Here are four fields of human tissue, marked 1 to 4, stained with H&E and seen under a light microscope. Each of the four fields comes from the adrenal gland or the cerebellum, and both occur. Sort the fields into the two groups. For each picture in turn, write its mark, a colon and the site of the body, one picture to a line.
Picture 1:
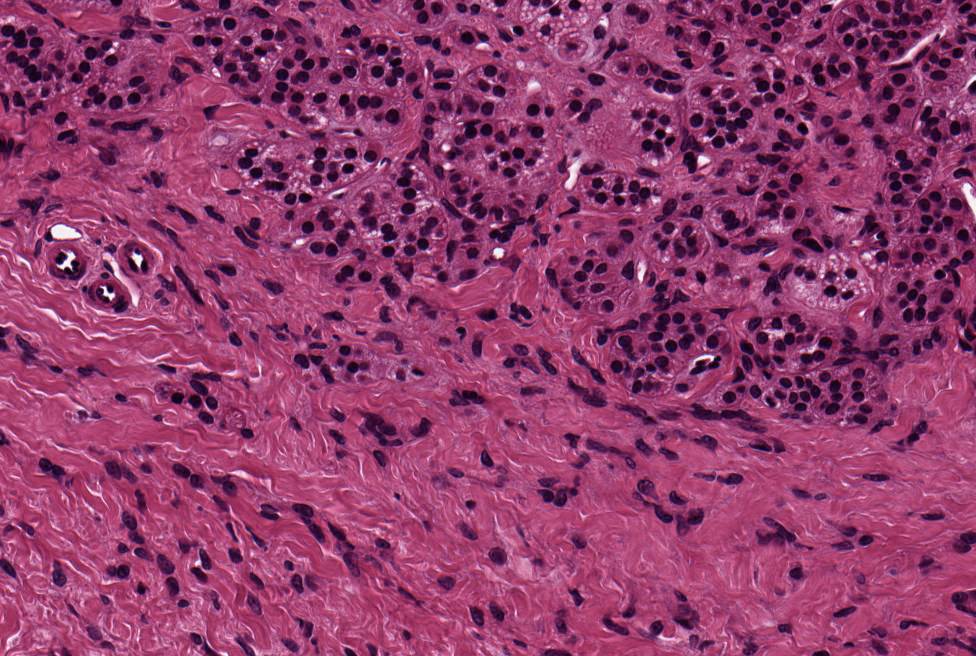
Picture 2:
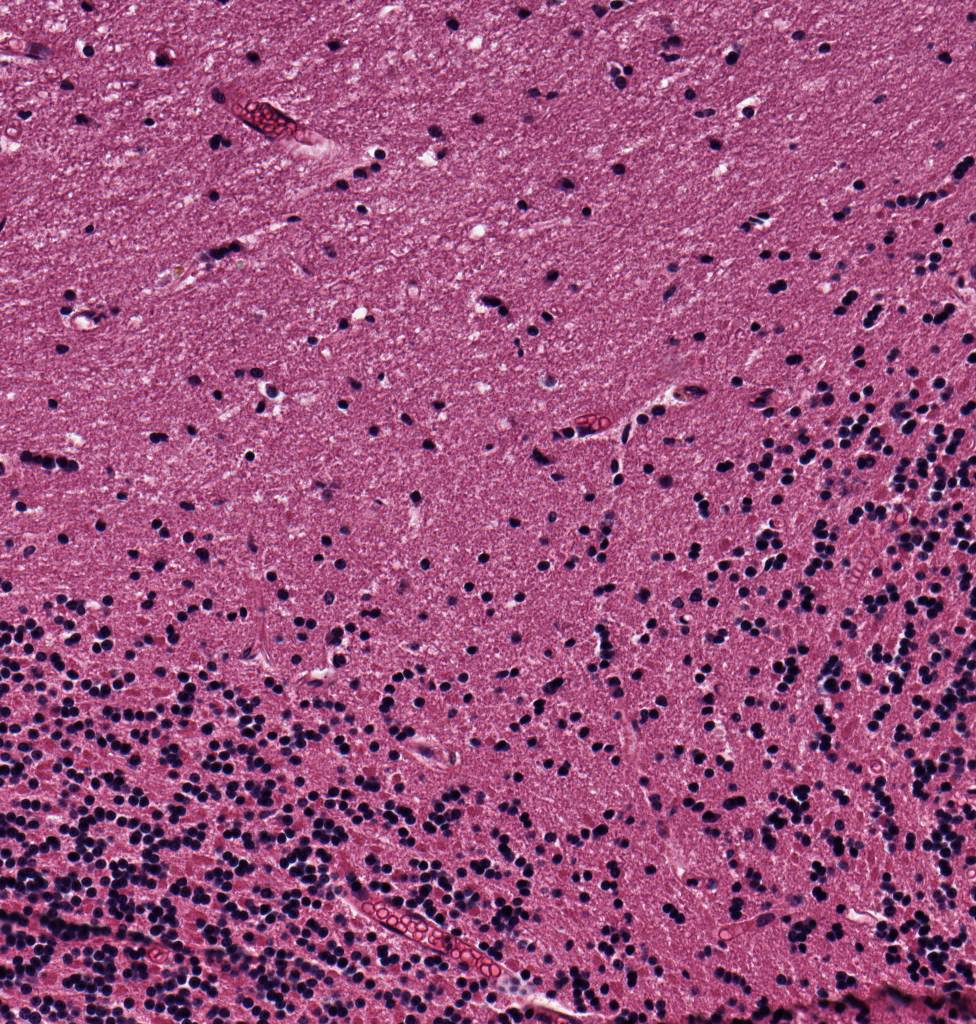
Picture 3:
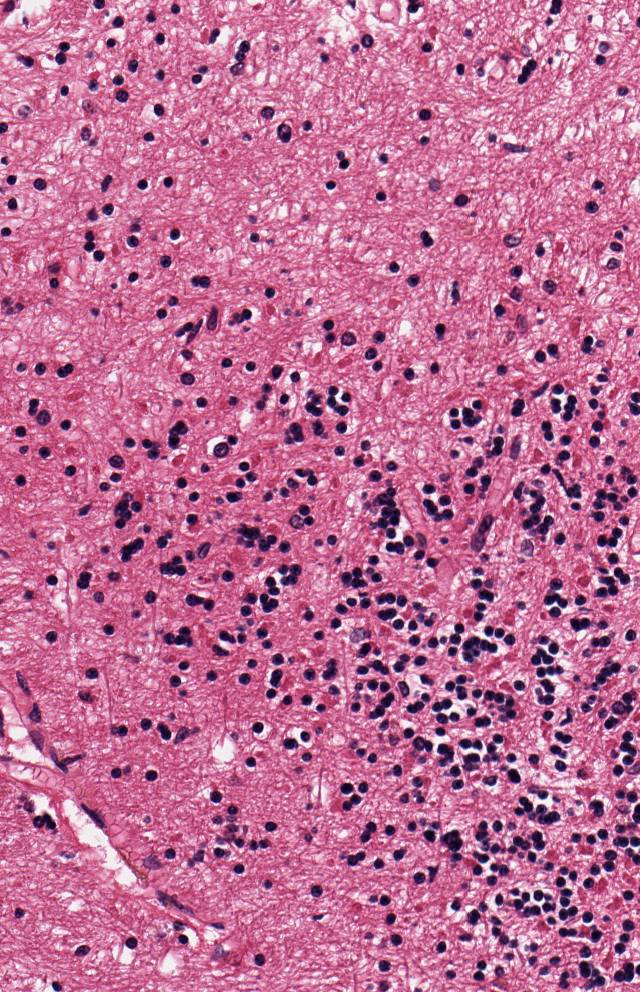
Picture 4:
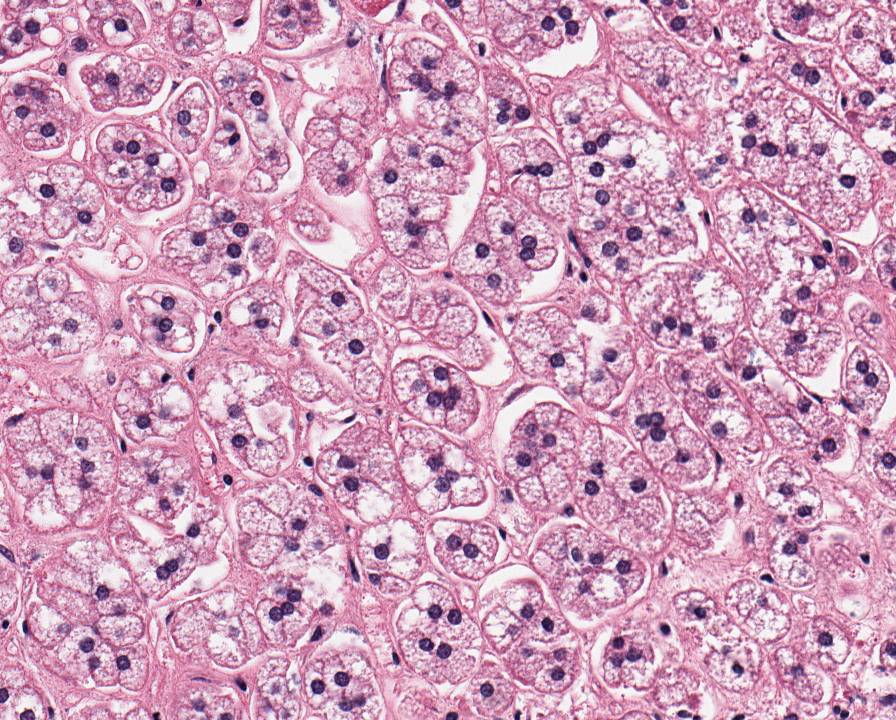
1: adrenal gland
2: cerebellum
3: cerebellum
4: adrenal gland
